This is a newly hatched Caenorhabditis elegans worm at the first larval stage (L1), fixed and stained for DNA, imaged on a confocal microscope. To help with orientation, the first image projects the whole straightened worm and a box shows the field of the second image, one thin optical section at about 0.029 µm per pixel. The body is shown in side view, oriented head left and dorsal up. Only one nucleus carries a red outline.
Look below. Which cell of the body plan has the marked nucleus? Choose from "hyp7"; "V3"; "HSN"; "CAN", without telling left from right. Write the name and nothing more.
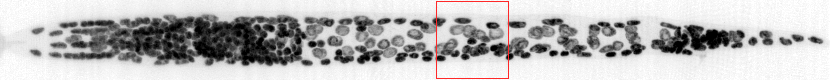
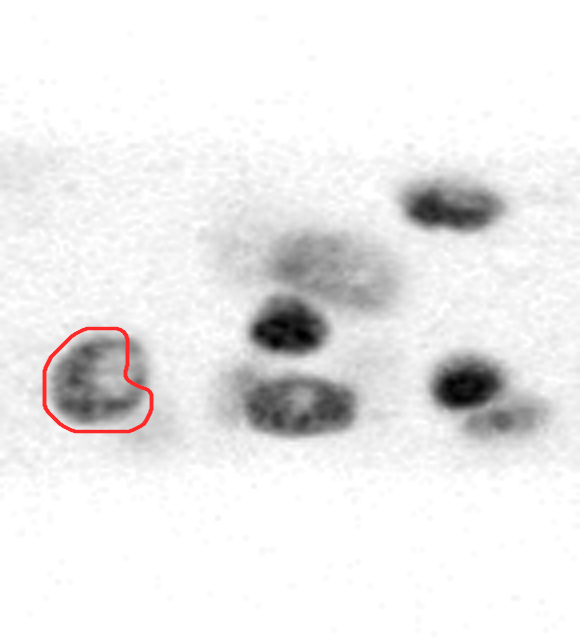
V3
